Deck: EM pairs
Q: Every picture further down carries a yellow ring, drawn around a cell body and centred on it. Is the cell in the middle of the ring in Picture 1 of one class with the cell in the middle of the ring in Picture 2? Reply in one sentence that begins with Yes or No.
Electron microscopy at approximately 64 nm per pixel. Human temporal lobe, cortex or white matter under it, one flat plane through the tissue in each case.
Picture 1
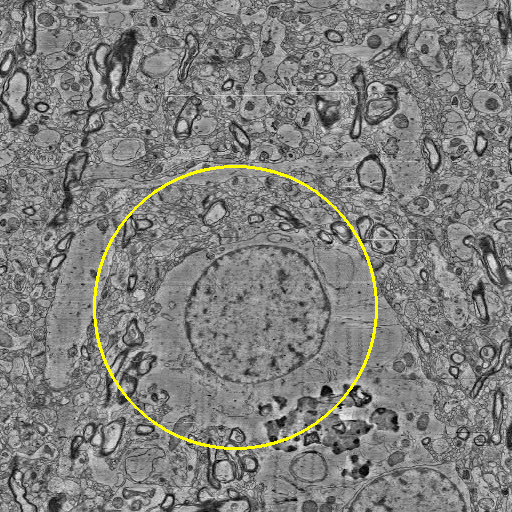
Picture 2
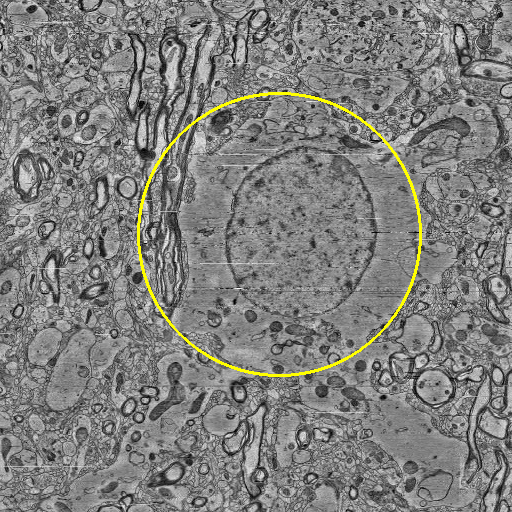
Yes, the cell centred in the ring of Picture 1 and the one in Picture 2 belong to one class.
